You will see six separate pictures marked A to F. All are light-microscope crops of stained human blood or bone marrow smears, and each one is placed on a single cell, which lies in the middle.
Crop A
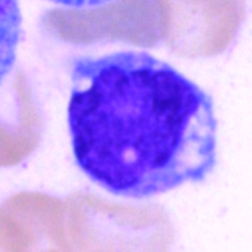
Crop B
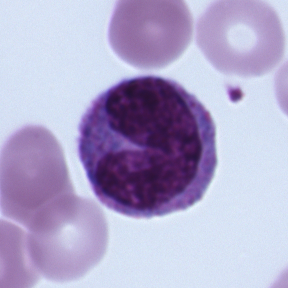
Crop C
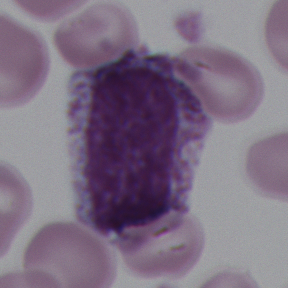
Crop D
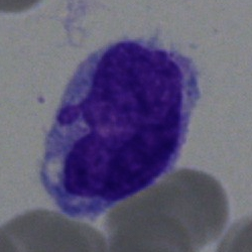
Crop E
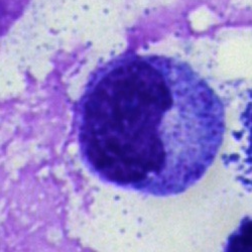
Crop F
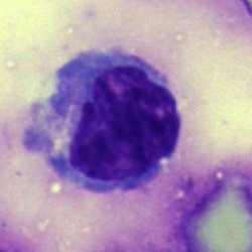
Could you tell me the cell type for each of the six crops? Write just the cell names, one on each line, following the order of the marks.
monocyte
monocyte
myelocyte
monocyte
myelocyte
monocyte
